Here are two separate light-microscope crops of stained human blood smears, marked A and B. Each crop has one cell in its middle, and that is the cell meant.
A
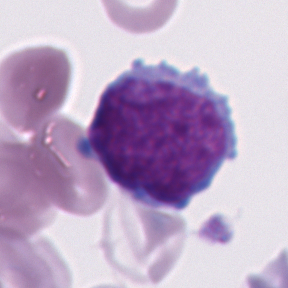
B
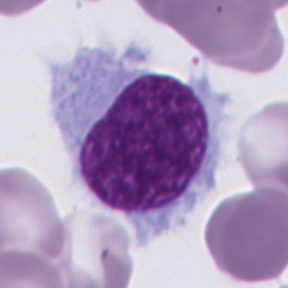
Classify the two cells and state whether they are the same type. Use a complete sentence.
No, crop A is home to a myeloblast, and crop B to a hairy cell.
